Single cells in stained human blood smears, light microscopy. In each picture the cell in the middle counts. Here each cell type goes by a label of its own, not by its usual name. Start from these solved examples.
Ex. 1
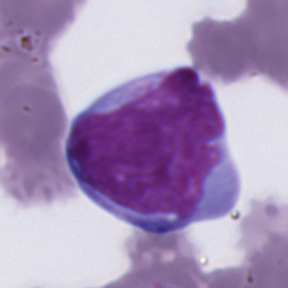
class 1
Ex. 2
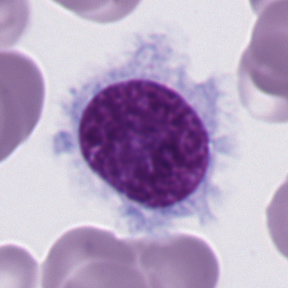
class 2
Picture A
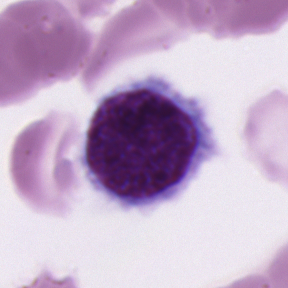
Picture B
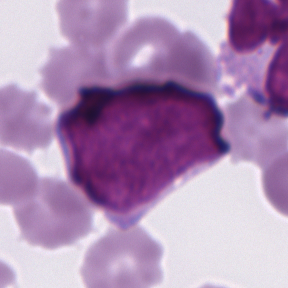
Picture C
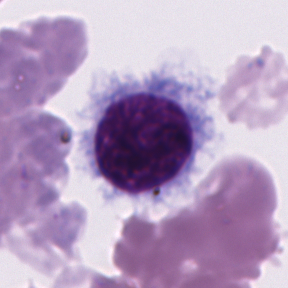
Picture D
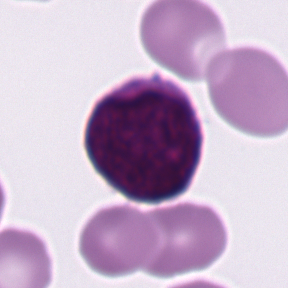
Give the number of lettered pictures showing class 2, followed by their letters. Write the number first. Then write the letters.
2: A, C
